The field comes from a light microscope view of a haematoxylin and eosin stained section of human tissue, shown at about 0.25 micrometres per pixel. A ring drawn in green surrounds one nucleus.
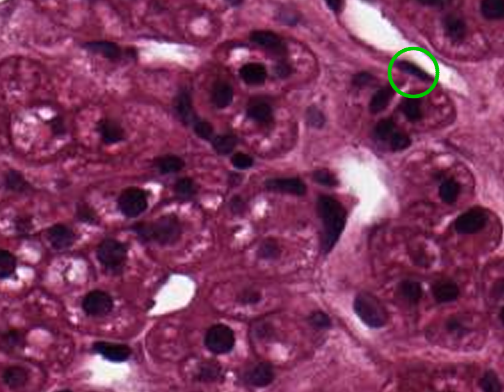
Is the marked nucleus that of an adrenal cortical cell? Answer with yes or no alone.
no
